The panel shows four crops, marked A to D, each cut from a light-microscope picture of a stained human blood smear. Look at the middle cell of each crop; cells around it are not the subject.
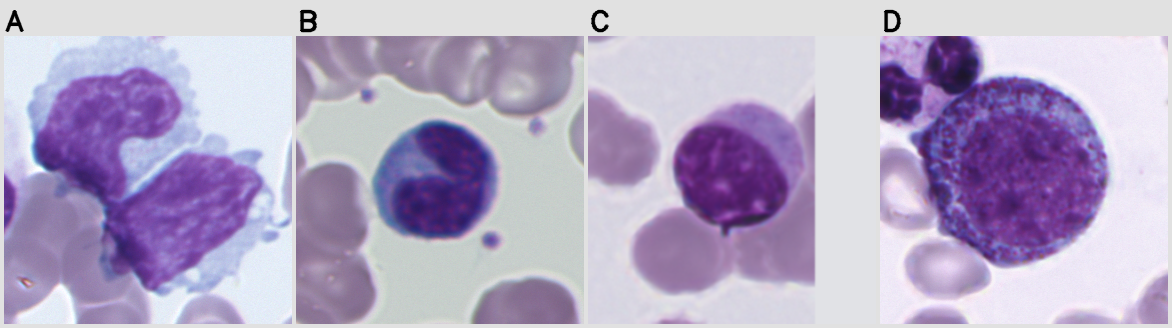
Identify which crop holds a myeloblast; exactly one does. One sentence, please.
The crop carrying a myeloblast at the center is crop A.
